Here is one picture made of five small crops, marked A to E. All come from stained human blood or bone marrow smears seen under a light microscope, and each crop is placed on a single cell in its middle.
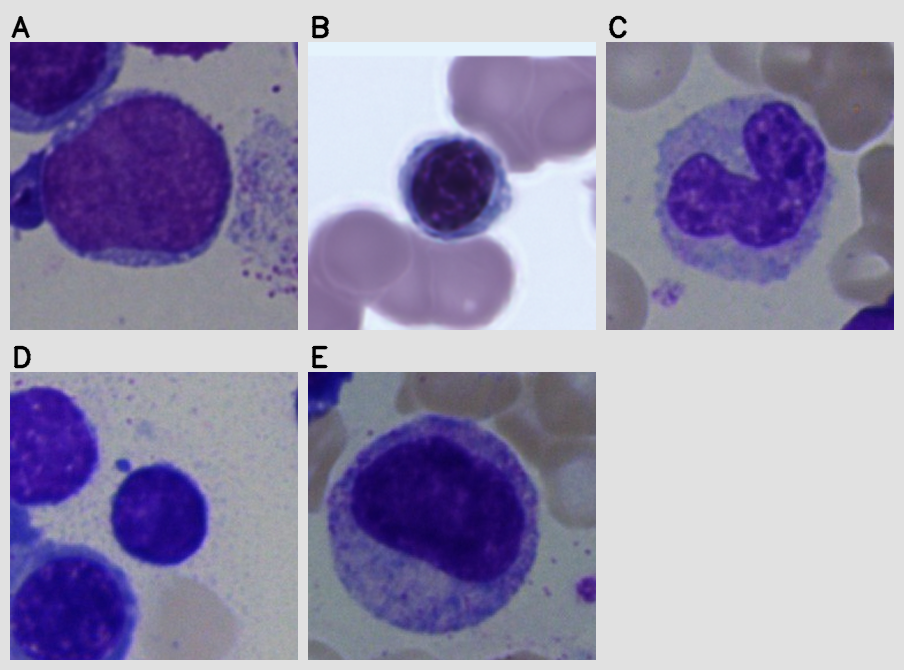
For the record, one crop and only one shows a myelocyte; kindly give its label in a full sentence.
Crop E is the crop containing a myelocyte.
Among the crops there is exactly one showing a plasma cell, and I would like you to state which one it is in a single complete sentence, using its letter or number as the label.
The crop that has a plasma cell in the middle is crop B.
